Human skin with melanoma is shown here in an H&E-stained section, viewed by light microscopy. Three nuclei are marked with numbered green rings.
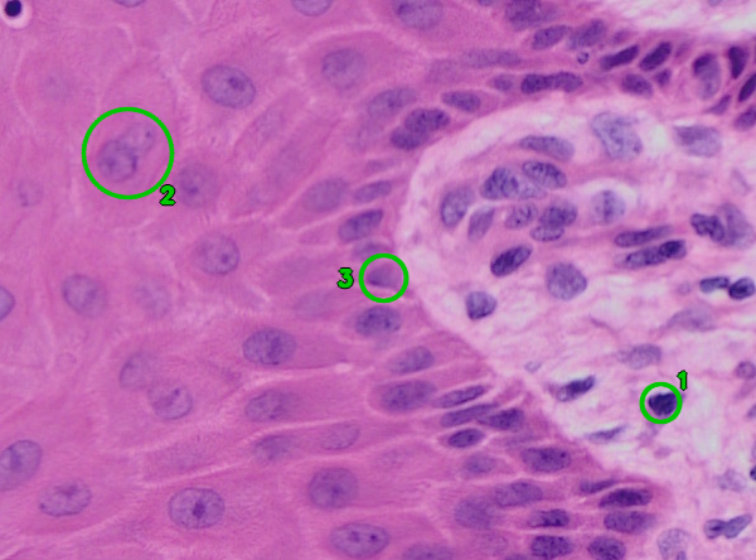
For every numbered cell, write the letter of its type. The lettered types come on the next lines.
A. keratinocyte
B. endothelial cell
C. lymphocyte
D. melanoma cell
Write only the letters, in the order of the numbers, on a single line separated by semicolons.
C; A; A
